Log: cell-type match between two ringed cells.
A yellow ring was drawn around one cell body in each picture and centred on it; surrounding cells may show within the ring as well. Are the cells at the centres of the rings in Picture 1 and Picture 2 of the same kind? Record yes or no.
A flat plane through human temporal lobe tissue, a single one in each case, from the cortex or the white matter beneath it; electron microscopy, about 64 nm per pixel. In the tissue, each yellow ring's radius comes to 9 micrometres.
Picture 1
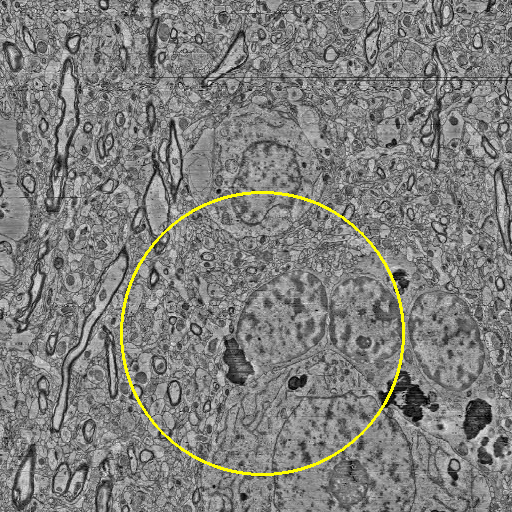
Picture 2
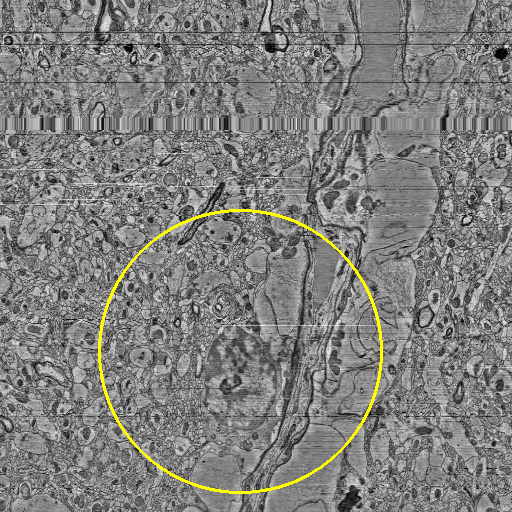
yes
